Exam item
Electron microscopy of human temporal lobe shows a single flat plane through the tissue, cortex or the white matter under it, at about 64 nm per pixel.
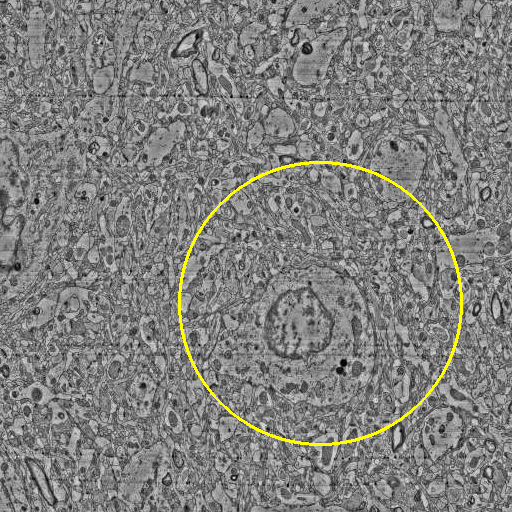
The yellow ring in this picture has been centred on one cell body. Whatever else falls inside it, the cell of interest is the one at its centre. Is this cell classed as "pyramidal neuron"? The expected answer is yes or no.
yes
